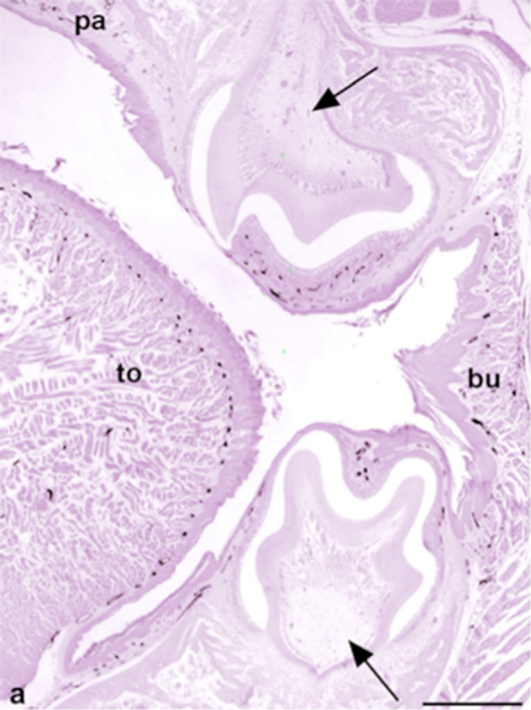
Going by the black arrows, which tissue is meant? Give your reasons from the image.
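The arrows point to soft tissue at the core of two tooth-like structures. The core is enclosed by folded pale, homogeneous hard-tissue layers. That points to this answer: Dental pulp.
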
